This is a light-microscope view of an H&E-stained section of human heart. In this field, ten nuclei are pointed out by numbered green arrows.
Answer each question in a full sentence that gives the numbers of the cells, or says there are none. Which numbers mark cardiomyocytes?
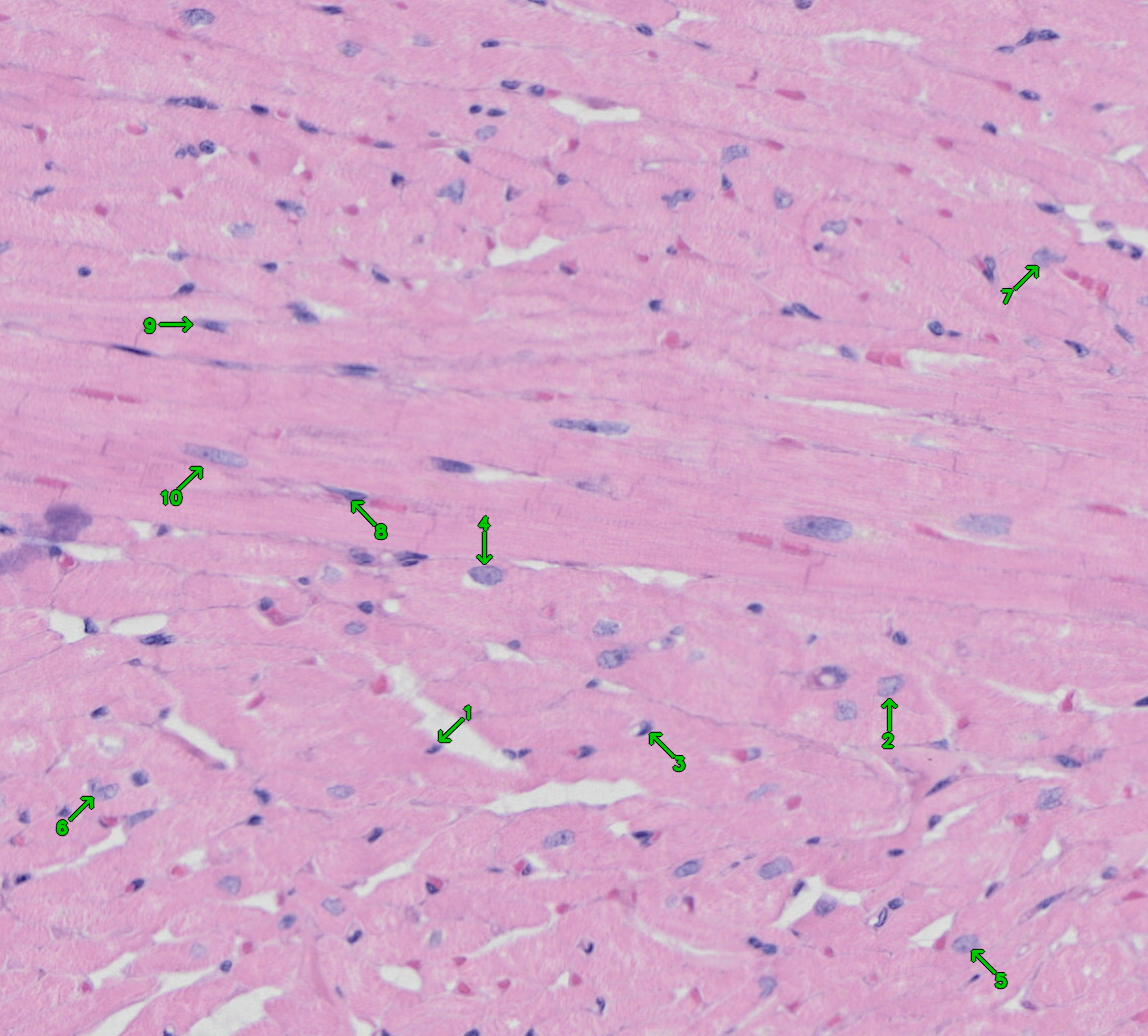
The cells marked with the numbers 2, 4, 5, 6, 7 and 10 are cardiomyocytes.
